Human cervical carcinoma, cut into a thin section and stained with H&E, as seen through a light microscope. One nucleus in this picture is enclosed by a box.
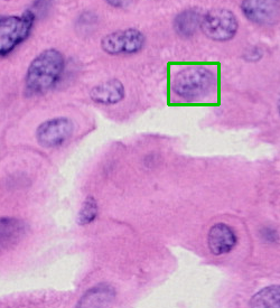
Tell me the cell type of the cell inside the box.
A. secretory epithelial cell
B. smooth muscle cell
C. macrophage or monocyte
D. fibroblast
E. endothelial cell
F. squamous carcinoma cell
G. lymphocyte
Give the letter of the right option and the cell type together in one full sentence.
Since the cell inside the box is a squamous carcinoma cell, the right option is F.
